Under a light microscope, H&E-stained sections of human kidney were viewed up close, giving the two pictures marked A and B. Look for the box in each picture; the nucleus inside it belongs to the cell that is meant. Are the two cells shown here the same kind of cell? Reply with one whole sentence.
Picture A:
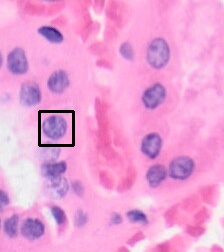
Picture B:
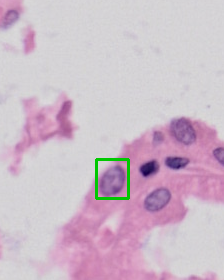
No, the types are not the same, since picture A shows a collecting duct cell and picture B a proximal tubule cell.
